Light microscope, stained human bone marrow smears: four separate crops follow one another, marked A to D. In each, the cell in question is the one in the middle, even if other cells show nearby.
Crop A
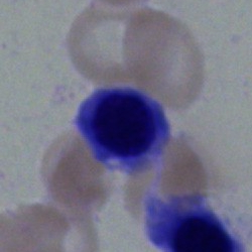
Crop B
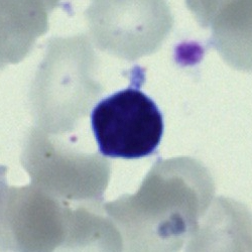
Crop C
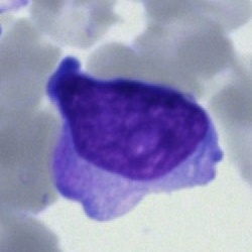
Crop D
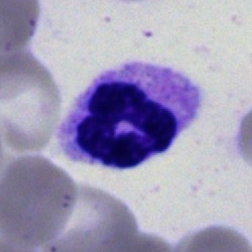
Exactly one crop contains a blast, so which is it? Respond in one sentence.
Of the labelled crops, the one that shows a blast is crop C.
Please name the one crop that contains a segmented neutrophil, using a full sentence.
The crop bearing a segmented neutrophil is crop D.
